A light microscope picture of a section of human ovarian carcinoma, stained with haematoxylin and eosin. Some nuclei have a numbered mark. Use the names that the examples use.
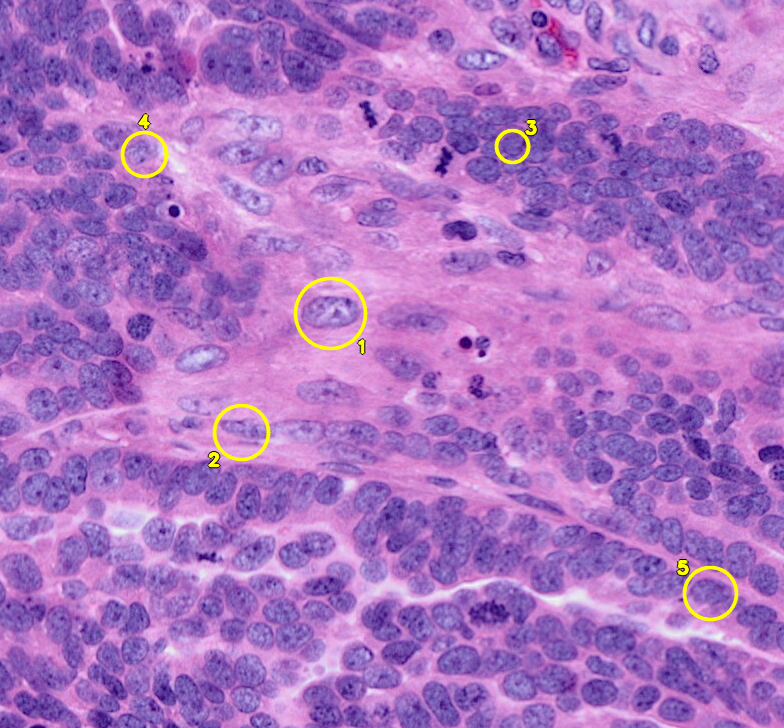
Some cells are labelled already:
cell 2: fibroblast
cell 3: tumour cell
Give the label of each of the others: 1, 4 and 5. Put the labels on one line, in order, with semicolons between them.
fibroblast; fibroblast; tumour cell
